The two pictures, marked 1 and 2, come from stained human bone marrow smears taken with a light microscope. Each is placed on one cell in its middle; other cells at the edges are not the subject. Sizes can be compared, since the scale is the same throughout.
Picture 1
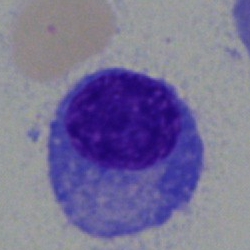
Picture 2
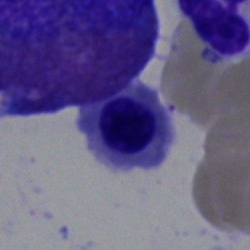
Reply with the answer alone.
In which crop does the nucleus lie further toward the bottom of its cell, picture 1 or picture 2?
2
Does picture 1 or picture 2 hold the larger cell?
1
